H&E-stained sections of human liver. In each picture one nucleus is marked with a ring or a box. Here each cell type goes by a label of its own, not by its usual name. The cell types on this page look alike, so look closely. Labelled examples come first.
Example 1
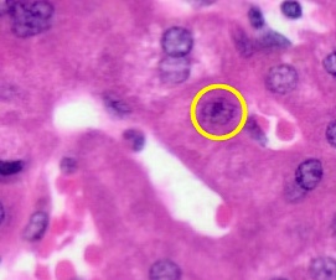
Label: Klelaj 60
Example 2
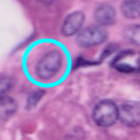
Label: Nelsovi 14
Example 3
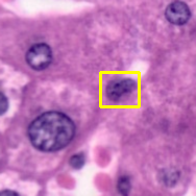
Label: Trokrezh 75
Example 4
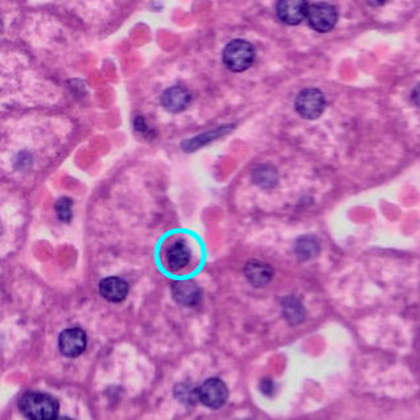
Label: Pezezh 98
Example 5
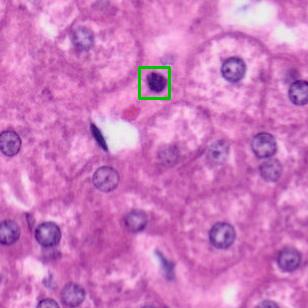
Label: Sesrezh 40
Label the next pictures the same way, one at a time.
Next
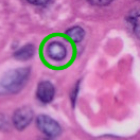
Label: Nelsovi 14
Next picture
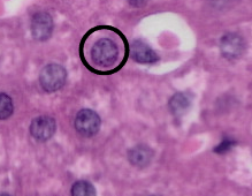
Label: Klelaj 60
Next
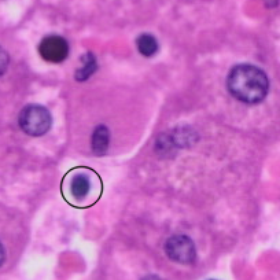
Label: Sesrezh 40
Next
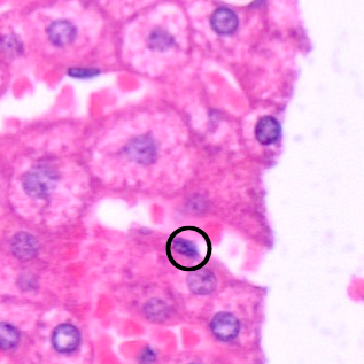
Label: Pezezh 98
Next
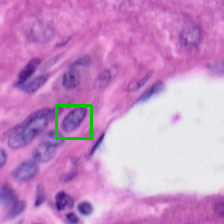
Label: Nelsovi 14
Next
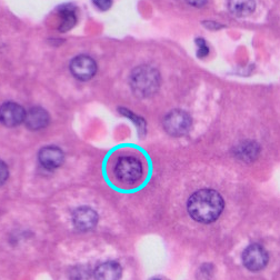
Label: Klelaj 60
